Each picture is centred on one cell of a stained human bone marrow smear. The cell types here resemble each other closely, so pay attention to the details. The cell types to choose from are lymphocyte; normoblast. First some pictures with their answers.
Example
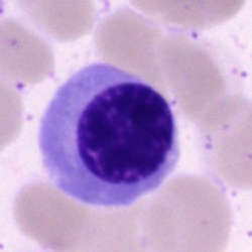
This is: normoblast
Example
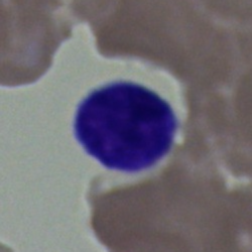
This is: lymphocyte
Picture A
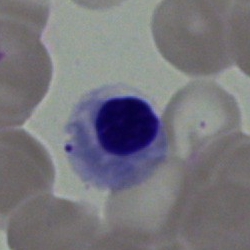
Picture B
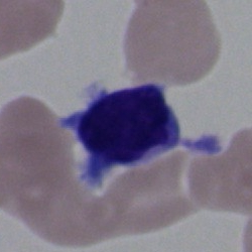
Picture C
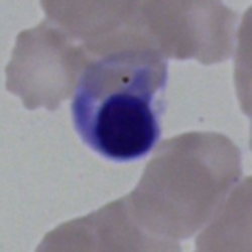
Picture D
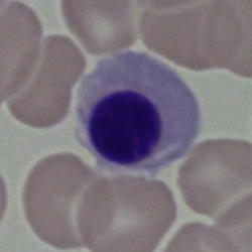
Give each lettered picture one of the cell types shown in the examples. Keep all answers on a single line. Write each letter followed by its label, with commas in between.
A normoblast, B lymphocyte, C normoblast, D normoblast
